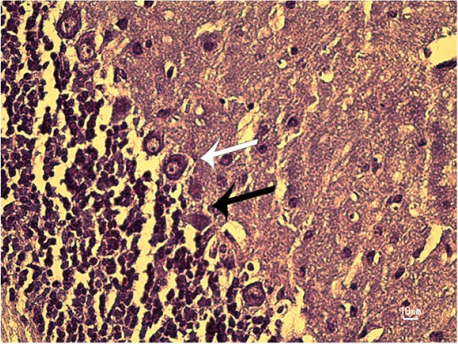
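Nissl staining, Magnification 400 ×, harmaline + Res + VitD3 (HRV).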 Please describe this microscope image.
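Cerebellar cortex with a row of Purkinje cells lying between a dense layer of small, dark, tightly packed nuclei on one side and a pale pink-purple fibrous layer on the other. Most Purkinje cells are large, with rounded or flask-shaped bodies, a pale round nucleus and a rim of purple cytoplasm. An occasional cell is smaller and more darkly and evenly stained. Scattered small nuclei and thin clefts lie in the fibrous layer beside the row of large cells.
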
